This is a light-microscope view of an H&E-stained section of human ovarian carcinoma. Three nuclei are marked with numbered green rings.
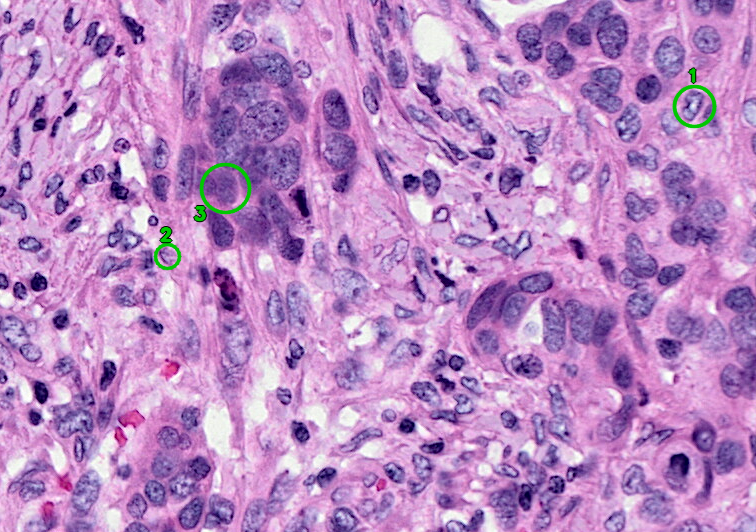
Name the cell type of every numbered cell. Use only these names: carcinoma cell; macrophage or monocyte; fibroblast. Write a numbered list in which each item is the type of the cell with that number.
1. fibroblast
2. fibroblast
3. carcinoma cell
